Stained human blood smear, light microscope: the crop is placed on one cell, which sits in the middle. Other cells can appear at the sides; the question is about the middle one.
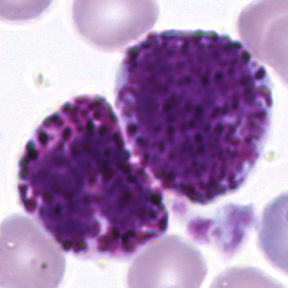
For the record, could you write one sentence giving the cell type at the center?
Positioned in the middle of the crop is a basophil.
